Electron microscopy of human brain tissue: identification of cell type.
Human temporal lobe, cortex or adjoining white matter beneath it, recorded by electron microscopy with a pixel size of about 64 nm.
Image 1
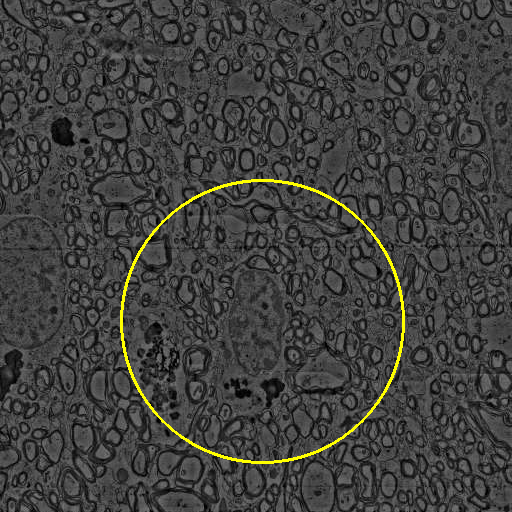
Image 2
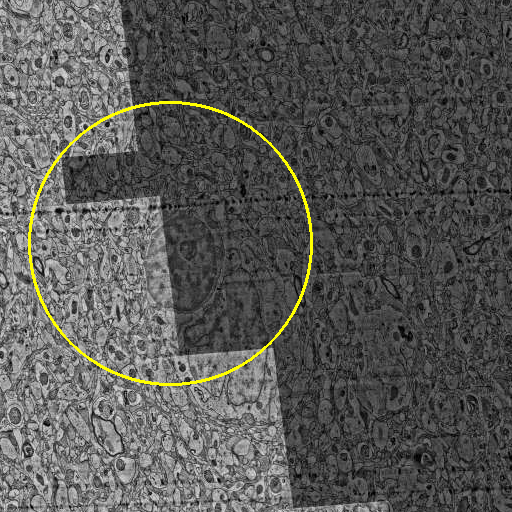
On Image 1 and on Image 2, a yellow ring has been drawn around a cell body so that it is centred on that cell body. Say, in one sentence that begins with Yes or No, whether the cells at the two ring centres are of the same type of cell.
Yes, both cells are the same type of cell.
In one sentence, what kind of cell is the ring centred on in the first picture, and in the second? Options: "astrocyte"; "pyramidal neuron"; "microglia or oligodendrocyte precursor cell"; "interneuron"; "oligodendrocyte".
Each of the two cells is an oligodendrocyte.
